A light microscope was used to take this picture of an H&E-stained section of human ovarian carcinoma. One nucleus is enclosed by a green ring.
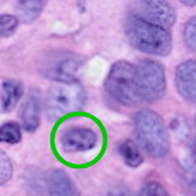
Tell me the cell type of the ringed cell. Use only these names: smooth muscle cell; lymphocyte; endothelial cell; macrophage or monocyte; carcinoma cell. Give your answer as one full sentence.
By cell type, the ringed cell is a macrophage or monocyte.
